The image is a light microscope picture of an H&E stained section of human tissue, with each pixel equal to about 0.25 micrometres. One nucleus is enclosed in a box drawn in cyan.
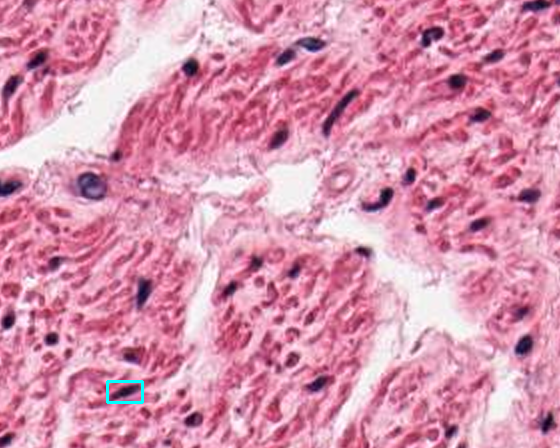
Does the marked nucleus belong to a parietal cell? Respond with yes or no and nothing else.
no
